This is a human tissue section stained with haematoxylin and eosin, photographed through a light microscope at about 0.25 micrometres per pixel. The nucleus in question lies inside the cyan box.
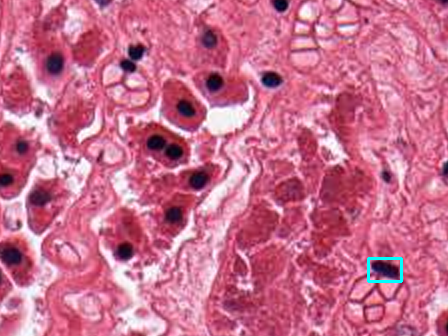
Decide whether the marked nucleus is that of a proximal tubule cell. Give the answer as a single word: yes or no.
no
